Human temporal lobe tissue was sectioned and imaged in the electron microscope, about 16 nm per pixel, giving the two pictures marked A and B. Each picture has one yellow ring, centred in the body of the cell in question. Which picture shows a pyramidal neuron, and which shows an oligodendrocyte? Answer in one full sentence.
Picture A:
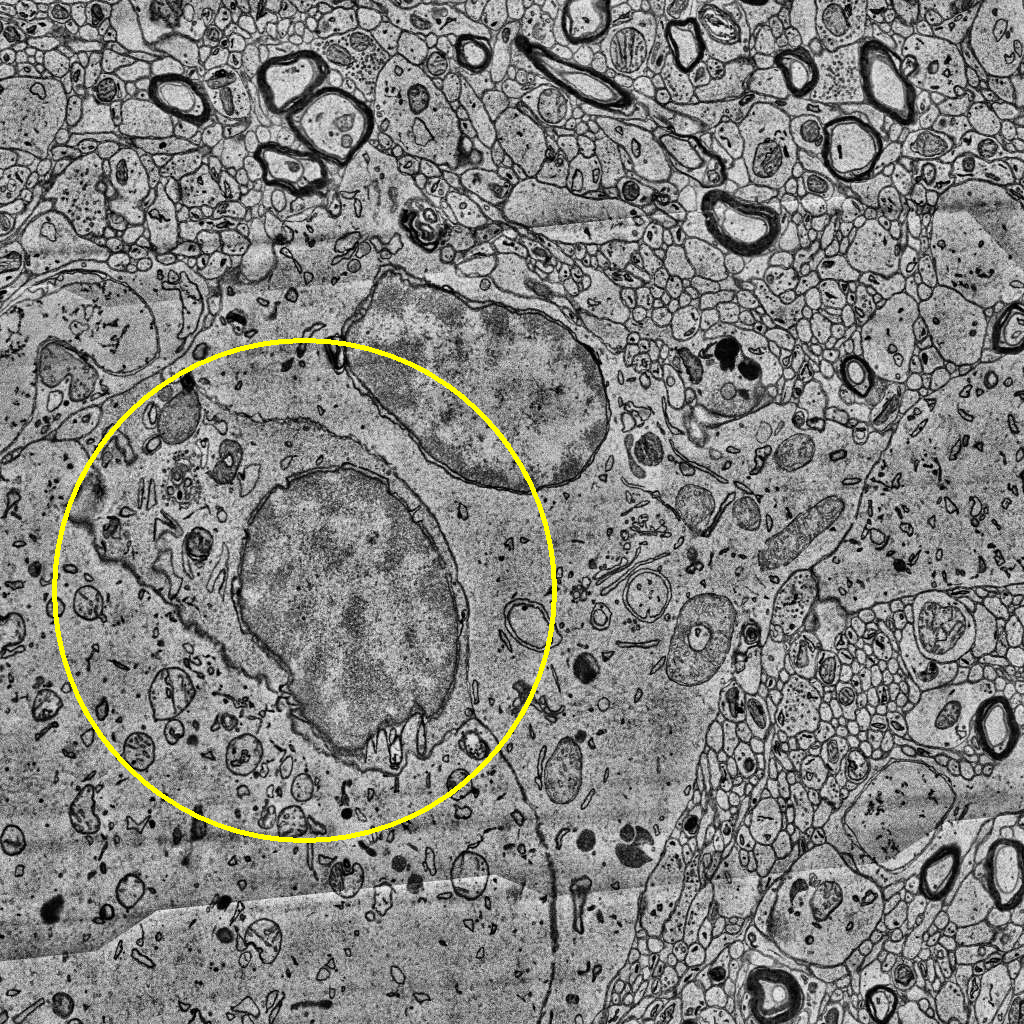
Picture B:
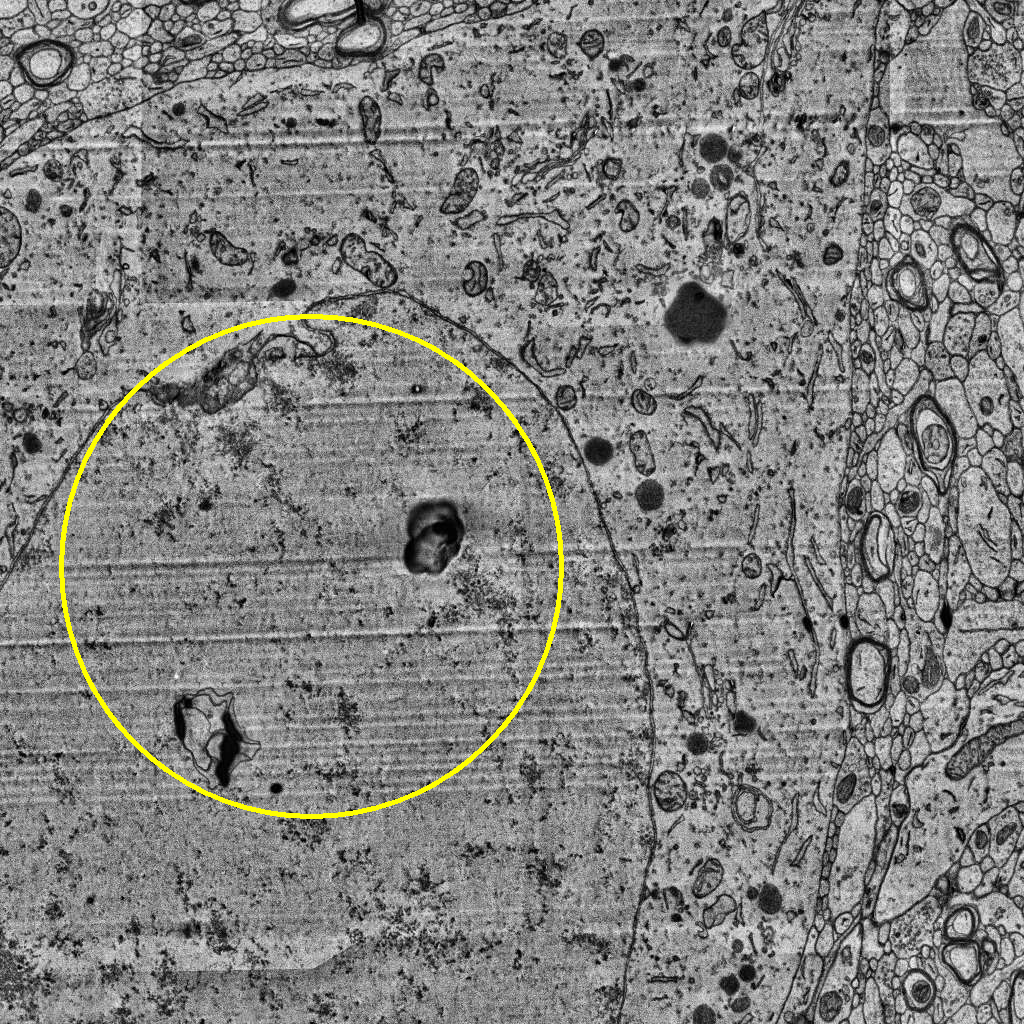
Picture A shows an oligodendrocyte and picture B shows a pyramidal neuron.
